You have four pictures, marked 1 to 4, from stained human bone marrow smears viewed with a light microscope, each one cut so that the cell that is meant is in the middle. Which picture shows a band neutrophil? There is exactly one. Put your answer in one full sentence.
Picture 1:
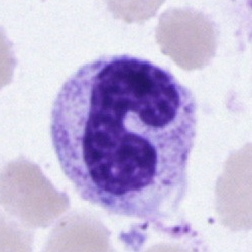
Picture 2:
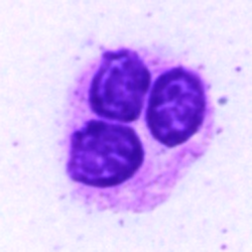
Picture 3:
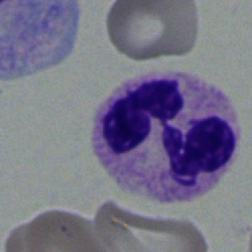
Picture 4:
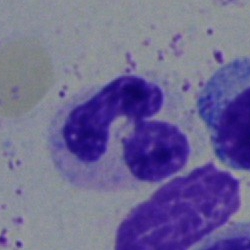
Picture 1 shows the band neutrophil.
